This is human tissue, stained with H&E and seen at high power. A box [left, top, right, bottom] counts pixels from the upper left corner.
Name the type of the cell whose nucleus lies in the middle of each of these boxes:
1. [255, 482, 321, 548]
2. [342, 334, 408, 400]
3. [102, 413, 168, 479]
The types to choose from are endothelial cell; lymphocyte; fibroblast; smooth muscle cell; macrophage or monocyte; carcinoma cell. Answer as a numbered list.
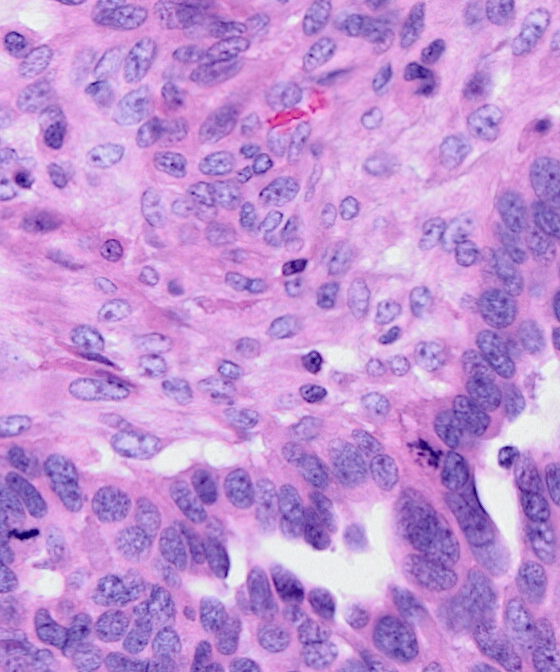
1. carcinoma cell
2. fibroblast
3. fibroblast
